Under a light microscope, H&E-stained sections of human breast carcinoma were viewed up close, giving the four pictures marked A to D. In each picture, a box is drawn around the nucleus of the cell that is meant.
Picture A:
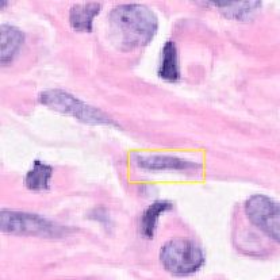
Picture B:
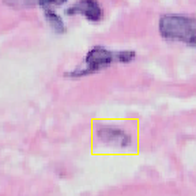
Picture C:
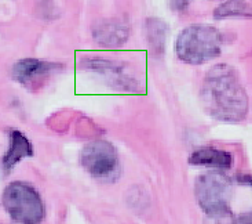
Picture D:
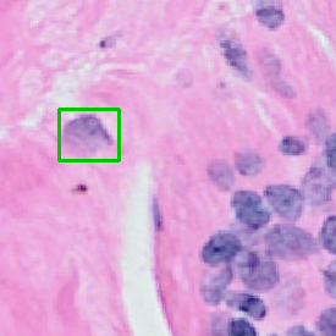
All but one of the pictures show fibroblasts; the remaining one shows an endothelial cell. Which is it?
C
